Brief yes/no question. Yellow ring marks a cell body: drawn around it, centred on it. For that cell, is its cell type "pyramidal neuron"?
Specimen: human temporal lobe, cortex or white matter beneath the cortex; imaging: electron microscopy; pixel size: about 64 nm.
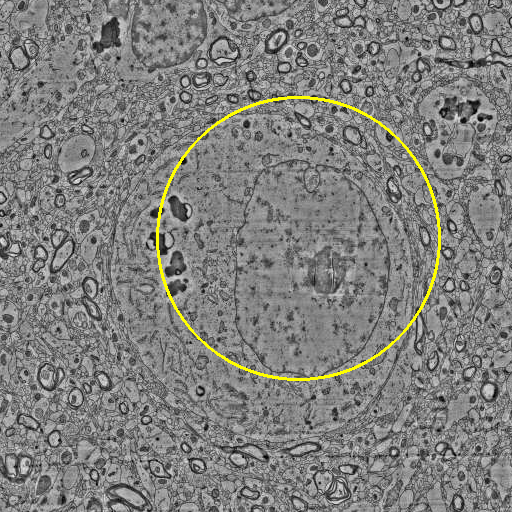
Yes, that is the cell type.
